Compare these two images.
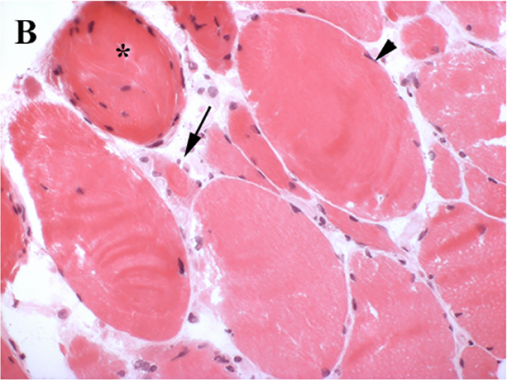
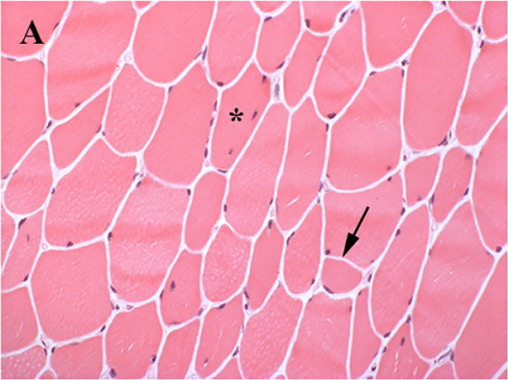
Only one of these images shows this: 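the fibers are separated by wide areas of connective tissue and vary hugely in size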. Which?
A: the first image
